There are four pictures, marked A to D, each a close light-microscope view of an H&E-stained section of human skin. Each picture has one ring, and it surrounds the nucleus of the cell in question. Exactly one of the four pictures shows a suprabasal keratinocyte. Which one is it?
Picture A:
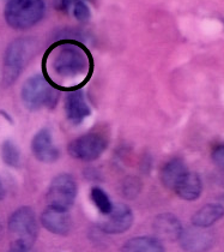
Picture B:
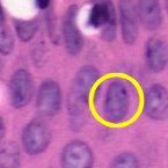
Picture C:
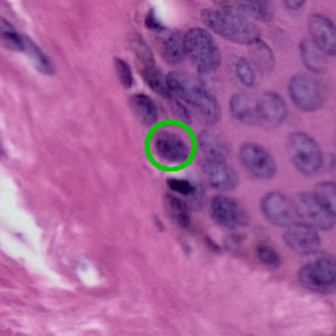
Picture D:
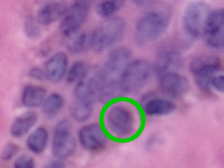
B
